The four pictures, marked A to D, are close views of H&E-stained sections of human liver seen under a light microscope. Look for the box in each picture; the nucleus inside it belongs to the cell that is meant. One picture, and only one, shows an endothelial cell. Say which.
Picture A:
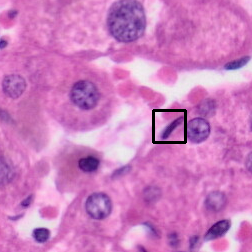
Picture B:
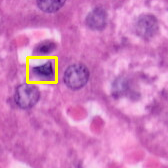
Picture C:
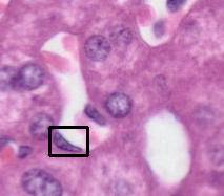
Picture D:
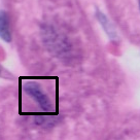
C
